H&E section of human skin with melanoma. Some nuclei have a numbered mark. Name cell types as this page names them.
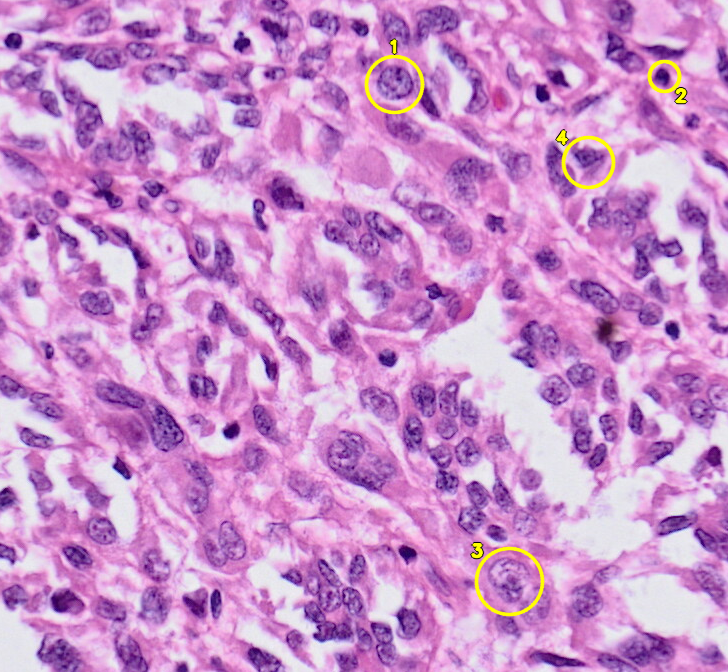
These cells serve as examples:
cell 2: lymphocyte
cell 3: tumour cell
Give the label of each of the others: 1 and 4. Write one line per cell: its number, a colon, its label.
1: tumour cell
4: tumour cell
